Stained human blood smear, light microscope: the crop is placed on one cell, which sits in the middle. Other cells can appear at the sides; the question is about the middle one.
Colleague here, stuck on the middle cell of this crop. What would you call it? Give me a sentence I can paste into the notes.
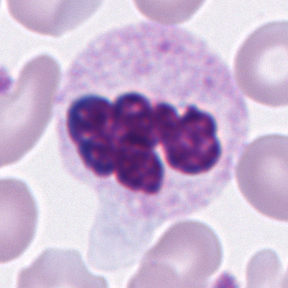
Regarding the central cell, it is a segmented neutrophil.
